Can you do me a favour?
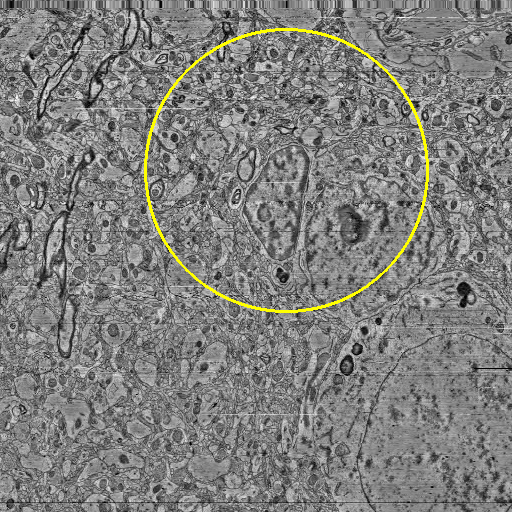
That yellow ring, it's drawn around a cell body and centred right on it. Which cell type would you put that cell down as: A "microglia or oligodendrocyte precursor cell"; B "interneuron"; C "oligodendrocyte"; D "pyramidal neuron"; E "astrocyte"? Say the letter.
A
